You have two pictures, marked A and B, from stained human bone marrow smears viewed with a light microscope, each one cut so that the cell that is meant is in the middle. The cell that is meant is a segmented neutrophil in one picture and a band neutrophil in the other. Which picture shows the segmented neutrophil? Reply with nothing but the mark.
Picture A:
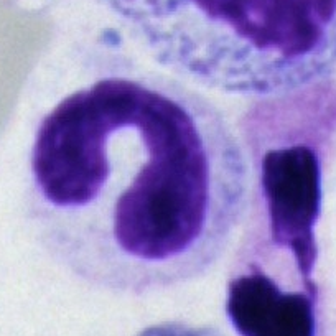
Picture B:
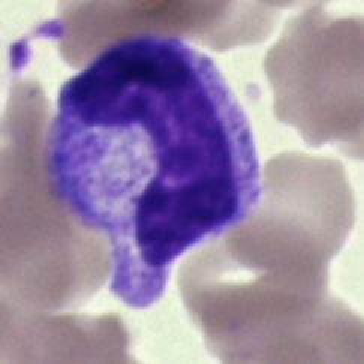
A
